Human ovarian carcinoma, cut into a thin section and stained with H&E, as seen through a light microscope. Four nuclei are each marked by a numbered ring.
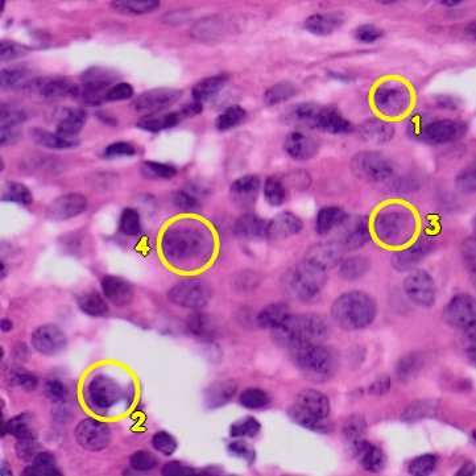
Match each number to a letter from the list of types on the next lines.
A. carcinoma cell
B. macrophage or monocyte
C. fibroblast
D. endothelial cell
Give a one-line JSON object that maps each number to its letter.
{"1": "B", "2": "A", "3": "A", "4": "A"}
